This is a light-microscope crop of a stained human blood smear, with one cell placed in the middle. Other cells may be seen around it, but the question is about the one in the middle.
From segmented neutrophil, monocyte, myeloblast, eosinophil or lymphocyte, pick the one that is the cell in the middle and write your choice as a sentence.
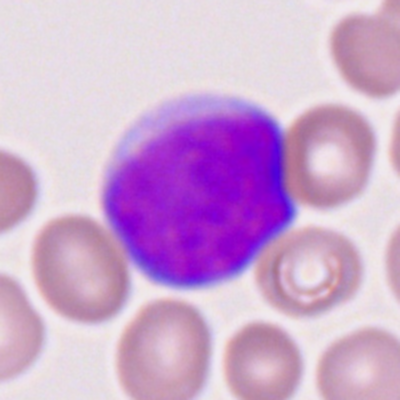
As for the central cell, it is a myeloblast.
